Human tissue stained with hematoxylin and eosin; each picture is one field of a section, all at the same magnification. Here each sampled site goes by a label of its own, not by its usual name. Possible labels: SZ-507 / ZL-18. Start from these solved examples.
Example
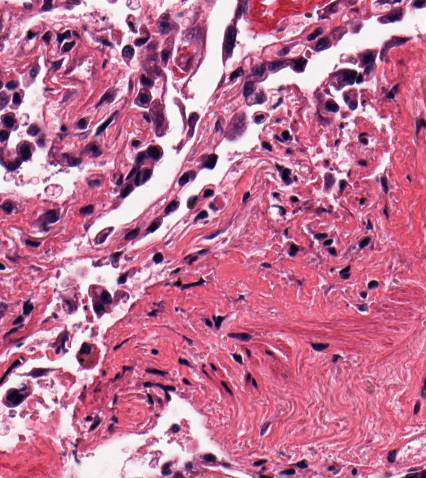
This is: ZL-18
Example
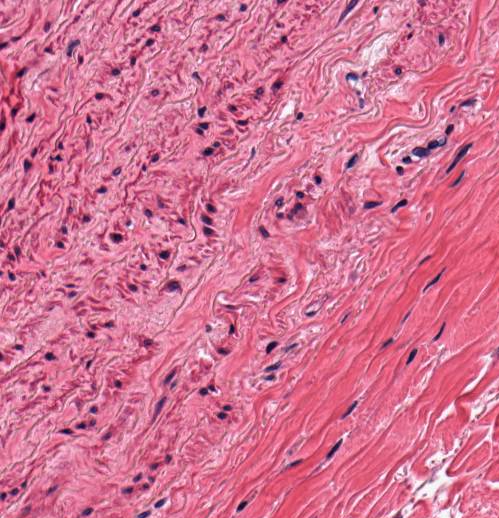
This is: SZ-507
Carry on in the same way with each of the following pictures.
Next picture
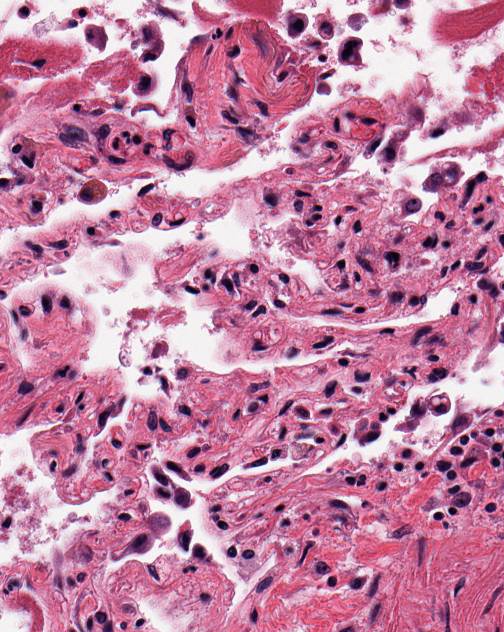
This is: ZL-18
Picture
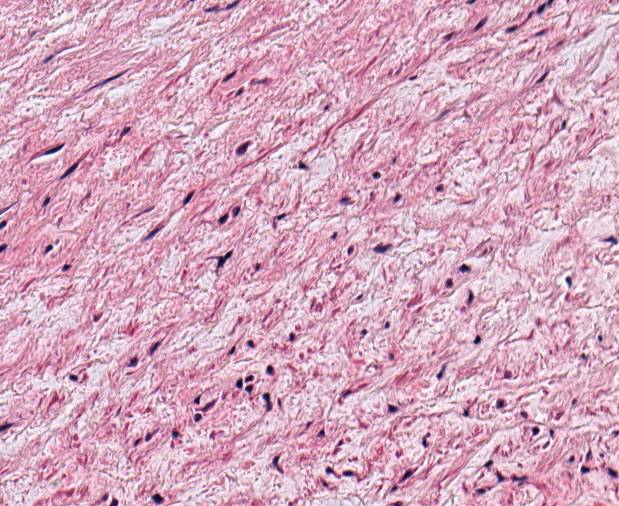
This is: SZ-507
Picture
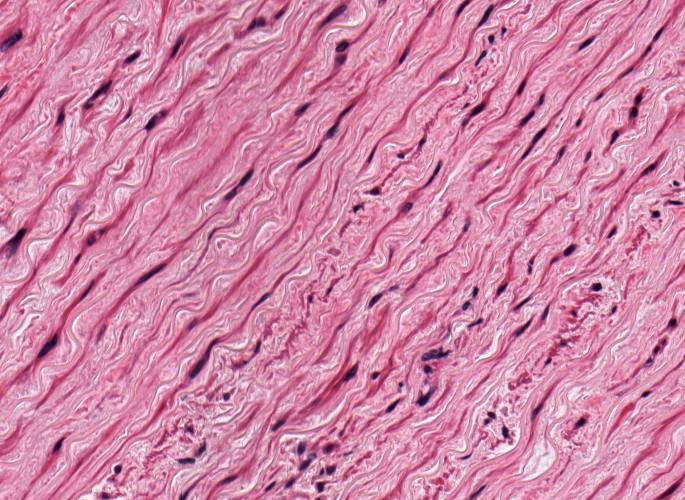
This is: SZ-507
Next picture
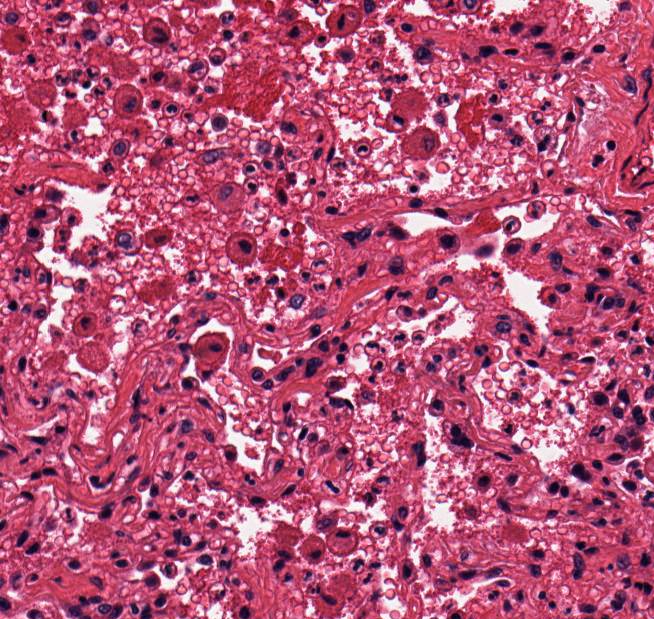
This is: ZL-18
